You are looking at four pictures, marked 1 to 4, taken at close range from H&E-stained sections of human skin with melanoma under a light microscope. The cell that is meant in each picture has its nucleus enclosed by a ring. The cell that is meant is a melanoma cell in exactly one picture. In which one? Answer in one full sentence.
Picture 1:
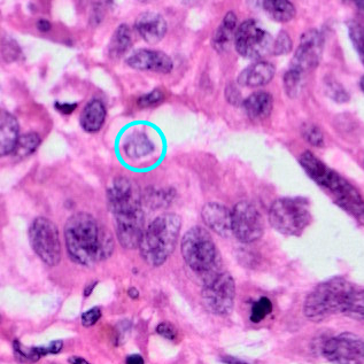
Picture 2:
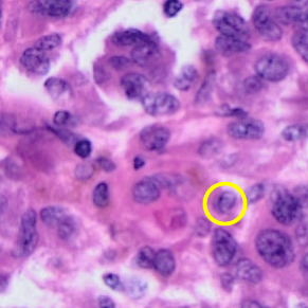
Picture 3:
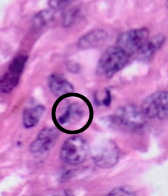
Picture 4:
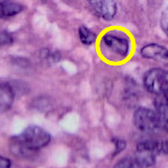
It is picture 3 that shows the melanoma cell.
